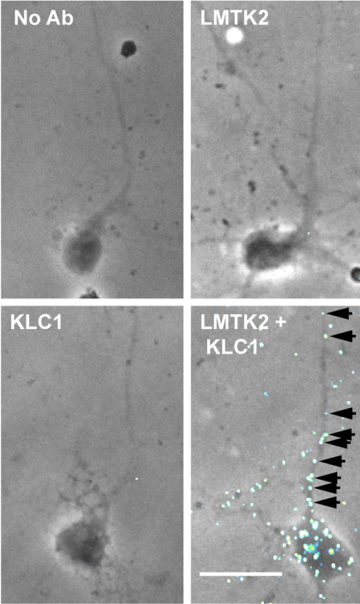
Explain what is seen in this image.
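These are cultured neurons in four phase-contrast fields, each with a dark, rounded cell body and thin, long processes running away from it. In one field, many pale blue dots are clustered over the cell body and strung along a thin process running upward, which the black arrows mark. The other three fields show almost no dots on comparable cells.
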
